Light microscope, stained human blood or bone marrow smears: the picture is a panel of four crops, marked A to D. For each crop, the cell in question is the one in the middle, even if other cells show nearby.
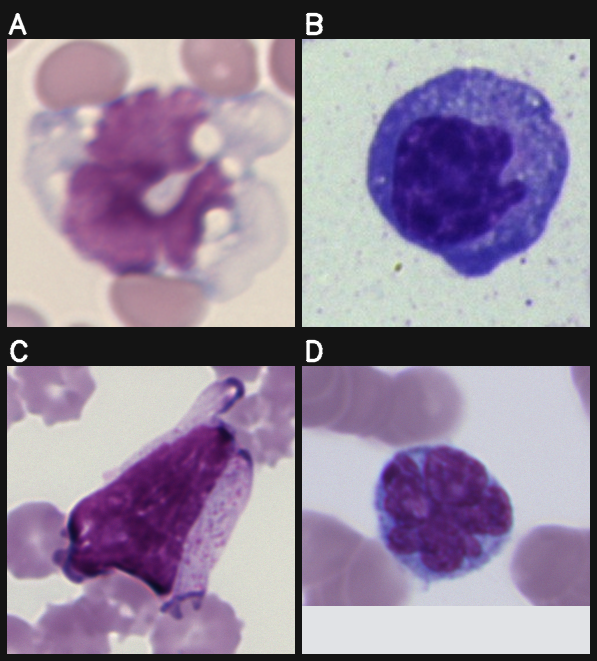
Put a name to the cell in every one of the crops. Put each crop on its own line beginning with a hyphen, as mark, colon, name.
- A: monocyte
- B: plasma cell
- C: myelocyte
- D: monocyte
